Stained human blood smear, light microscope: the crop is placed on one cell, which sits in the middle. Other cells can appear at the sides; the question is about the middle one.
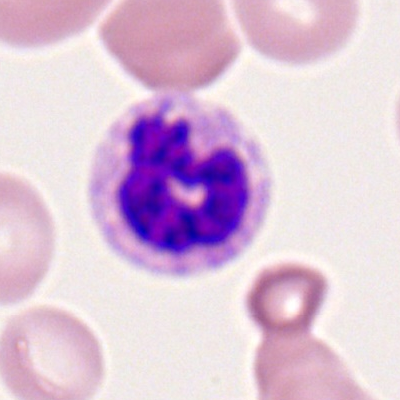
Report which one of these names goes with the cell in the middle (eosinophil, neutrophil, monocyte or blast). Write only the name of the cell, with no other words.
neutrophil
